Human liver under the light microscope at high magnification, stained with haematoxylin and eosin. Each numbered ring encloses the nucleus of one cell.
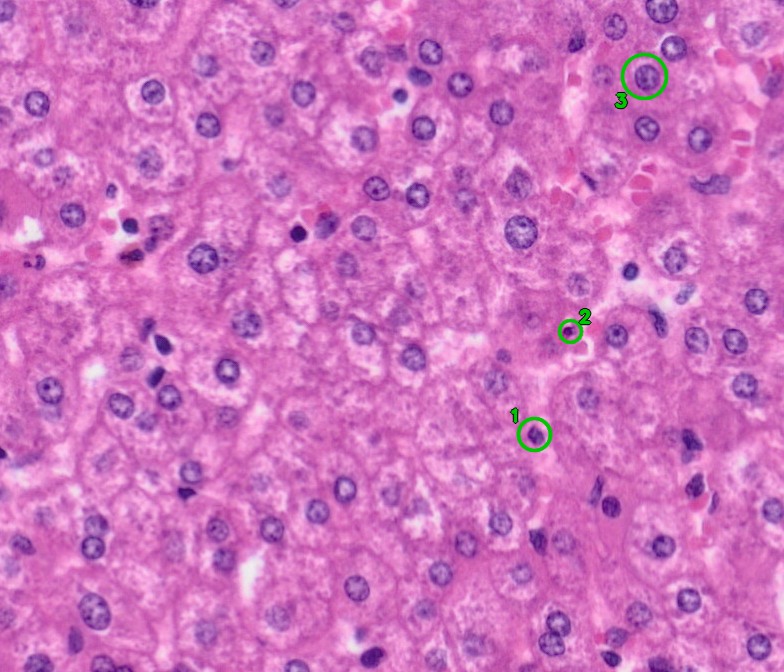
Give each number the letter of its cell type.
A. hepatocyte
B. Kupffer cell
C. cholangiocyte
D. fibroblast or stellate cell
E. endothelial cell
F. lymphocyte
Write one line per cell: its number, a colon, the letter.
1: F
2: F
3: A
